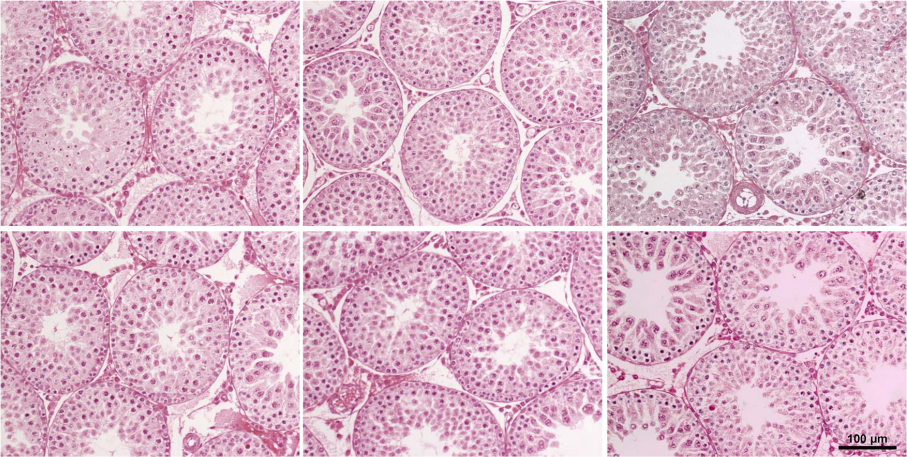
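These are cross-sections of testis showing closely packed, round seminiferous tubules. Each tubule is lined by a stratified epithelium of germ cells with round, purple-staining nuclei, arranged in several layers from the basal edge toward a central lumen. Narrow pale interstitial spaces lie between the tubules and contain occasional small blood vessels, and in some sections the lumina appear wider.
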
